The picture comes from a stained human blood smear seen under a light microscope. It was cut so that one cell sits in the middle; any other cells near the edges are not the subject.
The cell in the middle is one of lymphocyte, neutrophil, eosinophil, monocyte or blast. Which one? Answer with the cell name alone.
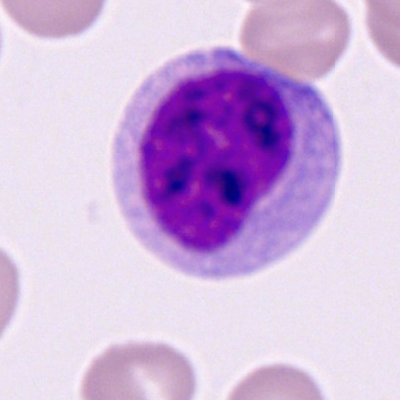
monocyte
